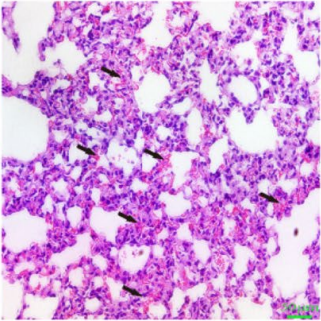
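Lung tissue in which the alveolar septa are markedly thickened and crowded with dark purple nuclei of infiltrating inflammatory cells. Scattered red-staining cells lie within the widened walls, and the alveolar airspaces are narrowed and irregular, leaving only a few larger open spaces.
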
